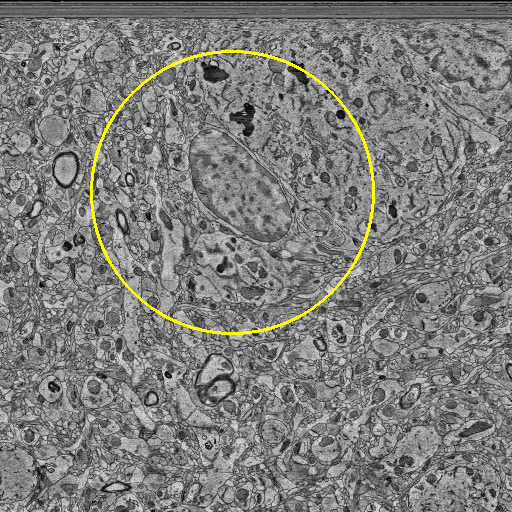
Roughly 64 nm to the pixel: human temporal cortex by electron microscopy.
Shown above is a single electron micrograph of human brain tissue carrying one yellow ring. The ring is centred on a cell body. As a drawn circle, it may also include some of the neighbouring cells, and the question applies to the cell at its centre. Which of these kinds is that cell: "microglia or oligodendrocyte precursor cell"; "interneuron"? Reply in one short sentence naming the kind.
The cell marked by the ring is a microglial cell or oligodendrocyte precursor cell.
